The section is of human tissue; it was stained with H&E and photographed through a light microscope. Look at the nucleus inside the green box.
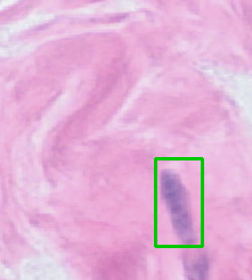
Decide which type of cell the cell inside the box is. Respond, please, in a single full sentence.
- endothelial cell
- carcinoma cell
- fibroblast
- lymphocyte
The category to which the cell inside the box belongs is that of a fibroblast.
